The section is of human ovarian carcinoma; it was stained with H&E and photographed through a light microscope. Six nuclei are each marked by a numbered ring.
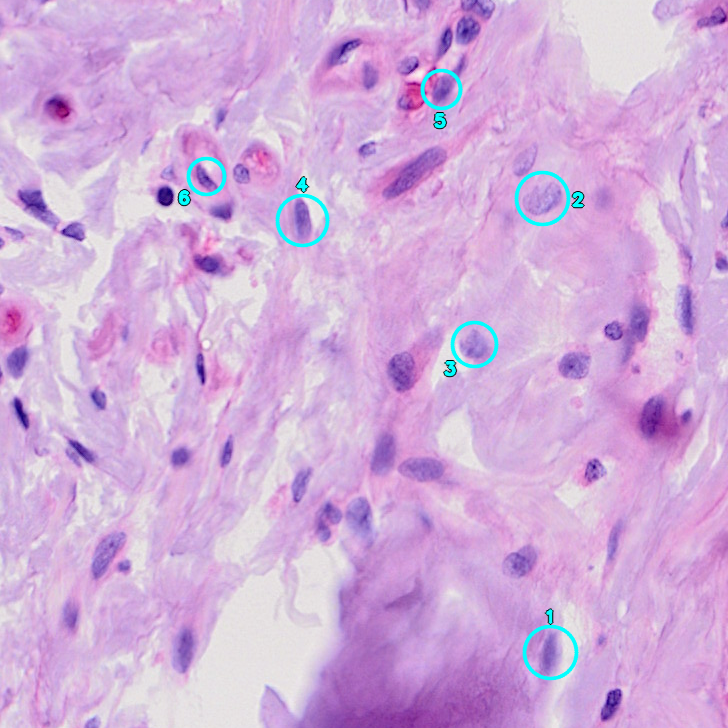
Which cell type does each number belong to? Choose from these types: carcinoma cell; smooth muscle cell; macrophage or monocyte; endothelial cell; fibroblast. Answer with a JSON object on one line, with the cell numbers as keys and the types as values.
{"1": "fibroblast", "2": "fibroblast", "3": "fibroblast", "4": "fibroblast", "5": "endothelial cell", "6": "endothelial cell"}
